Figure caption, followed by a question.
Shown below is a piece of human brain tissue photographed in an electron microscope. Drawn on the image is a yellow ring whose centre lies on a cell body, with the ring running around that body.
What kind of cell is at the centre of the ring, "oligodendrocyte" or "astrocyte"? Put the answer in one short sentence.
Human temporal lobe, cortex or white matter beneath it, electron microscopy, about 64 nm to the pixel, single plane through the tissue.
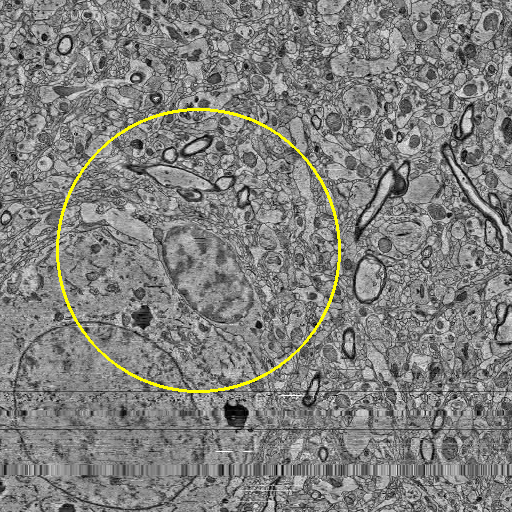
The ring marks the cell body of an oligodendrocyte.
